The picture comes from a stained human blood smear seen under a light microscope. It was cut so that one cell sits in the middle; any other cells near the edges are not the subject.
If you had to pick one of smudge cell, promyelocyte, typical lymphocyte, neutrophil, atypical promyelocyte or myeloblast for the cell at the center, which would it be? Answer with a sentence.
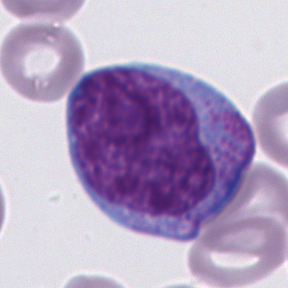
The cell under consideration, at the middle of the crop, is a promyelocyte.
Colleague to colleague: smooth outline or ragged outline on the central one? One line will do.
A smooth, projection-free outline is what this cell has.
